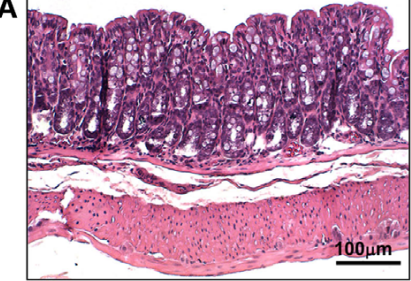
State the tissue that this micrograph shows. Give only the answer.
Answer: Colon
